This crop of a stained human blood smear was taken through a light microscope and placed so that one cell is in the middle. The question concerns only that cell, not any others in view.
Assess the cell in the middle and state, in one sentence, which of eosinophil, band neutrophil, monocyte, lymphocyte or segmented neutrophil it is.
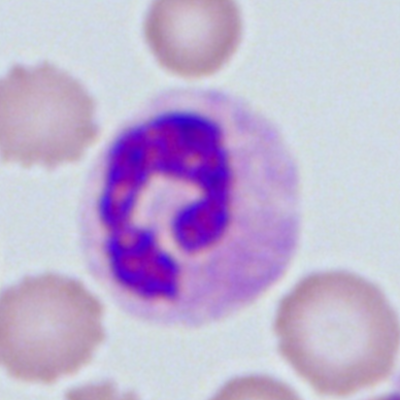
The cell of interest, located centrally, is a segmented neutrophil.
